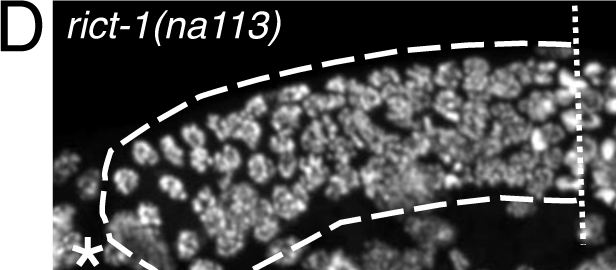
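This is the distal end of a germline, with the progenitor zone of tightly packed germ cell nuclei outlined from its rounded blind end. The nuclei within it are small, round and speckled. Beyond the dotted line on the right lie further nuclei of the germline.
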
